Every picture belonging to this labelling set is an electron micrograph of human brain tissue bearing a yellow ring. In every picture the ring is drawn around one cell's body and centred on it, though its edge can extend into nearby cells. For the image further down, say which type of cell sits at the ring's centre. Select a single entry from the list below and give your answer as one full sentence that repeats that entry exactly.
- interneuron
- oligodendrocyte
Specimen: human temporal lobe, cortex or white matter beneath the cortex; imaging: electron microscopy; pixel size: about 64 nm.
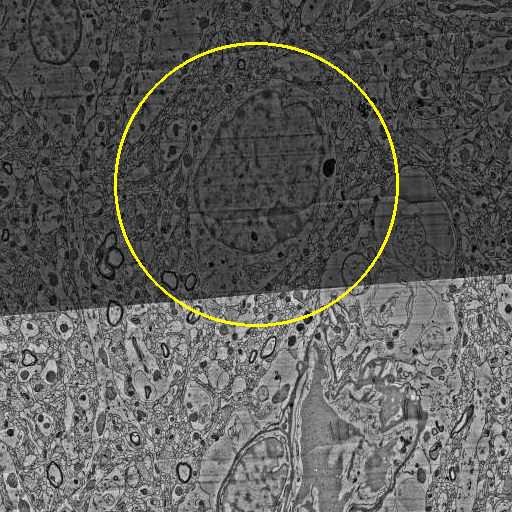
In the picture, an interneuron is the cell at the centre of the yellow ring.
